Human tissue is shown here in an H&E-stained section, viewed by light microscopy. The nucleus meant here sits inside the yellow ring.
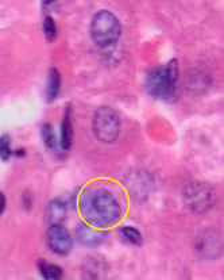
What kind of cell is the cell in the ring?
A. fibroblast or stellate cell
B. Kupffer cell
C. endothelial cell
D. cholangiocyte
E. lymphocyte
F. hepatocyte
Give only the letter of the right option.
D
